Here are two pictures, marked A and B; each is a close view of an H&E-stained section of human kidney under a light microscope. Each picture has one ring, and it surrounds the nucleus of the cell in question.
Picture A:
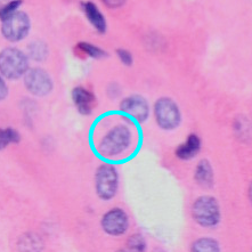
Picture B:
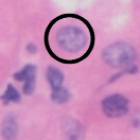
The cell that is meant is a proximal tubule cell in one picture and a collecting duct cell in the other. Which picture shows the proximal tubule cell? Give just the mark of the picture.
B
